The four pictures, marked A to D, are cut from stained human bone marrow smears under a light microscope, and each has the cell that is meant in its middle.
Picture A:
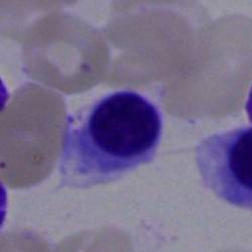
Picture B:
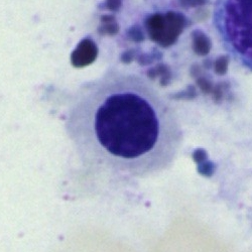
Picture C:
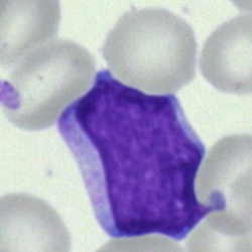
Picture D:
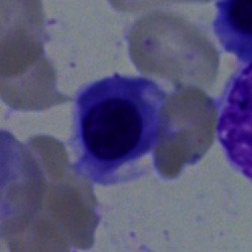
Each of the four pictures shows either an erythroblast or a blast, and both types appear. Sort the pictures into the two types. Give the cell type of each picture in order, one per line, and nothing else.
erythroblast
erythroblast
blast
erythroblast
